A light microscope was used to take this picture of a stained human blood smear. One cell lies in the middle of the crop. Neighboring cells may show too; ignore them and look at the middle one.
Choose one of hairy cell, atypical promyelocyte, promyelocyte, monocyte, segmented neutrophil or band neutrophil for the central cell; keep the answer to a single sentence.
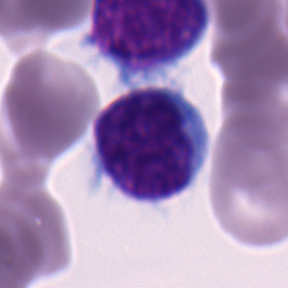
In this smear crop, the middle cell is a hairy cell.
